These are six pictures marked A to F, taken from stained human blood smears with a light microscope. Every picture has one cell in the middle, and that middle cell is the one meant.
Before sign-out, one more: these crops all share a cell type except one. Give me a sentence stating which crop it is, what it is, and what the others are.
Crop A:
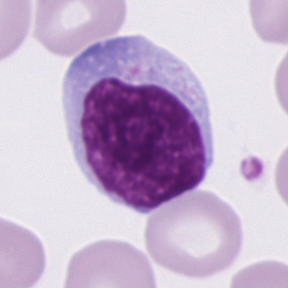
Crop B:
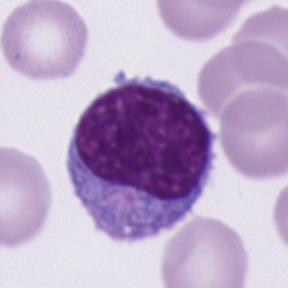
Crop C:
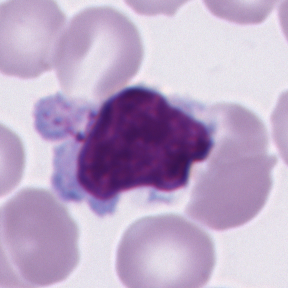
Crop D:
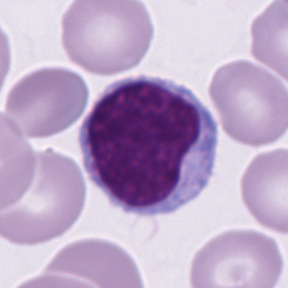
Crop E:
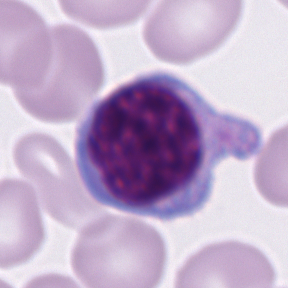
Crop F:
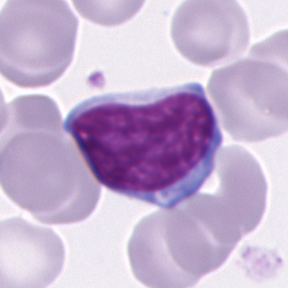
In this set, all crops show typical lymphocytes apart from crop A, which is a large granular lymphocyte.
